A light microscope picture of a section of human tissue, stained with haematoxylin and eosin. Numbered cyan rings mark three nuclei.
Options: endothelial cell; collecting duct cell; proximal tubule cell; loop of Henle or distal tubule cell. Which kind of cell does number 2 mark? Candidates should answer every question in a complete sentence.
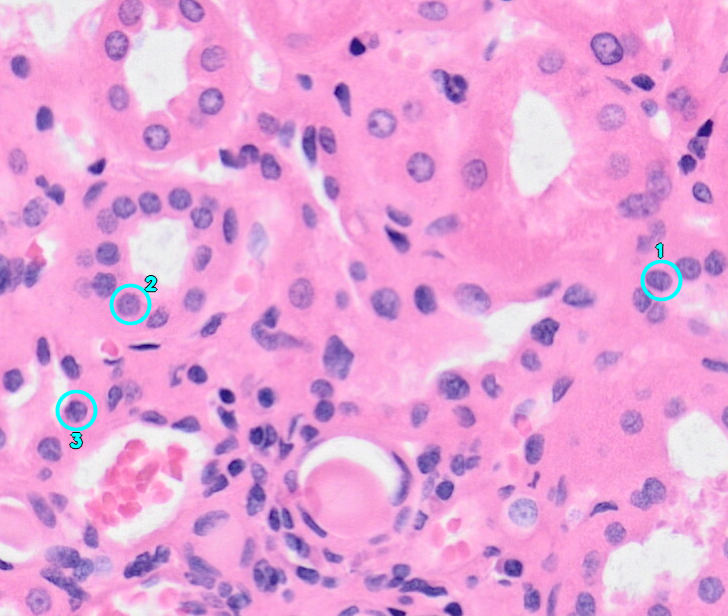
Belonging to a collecting duct cell is the nucleus that carries the number 2.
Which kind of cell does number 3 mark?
The cell pointed out by number 3 is a loop of Henle or distal tubule cell.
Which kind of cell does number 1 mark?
The cell referenced by the number 1 is a collecting duct cell in this field.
